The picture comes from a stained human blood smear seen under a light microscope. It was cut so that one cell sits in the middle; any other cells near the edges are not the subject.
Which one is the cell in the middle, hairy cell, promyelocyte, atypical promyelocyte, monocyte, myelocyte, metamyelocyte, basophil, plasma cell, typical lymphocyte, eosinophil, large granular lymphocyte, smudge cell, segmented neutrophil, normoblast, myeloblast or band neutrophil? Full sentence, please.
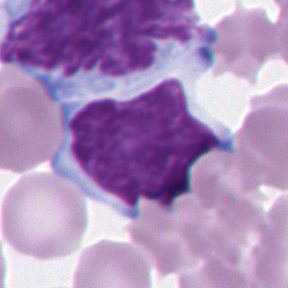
The cell nearest the centre of this crop is a typical lymphocyte.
